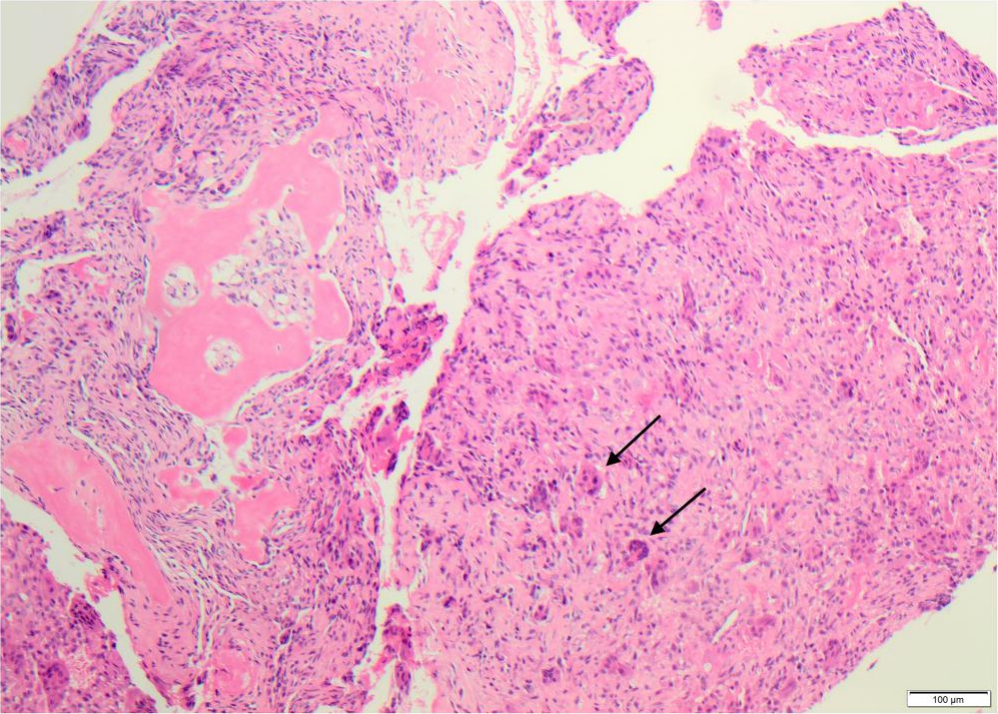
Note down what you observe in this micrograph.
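Fibroblastic tissue made of densely packed spindle-shaped cells with elongated dark nuclei lies in a pink collagenous stroma. Large multinucleated osteoclastic giant cells, each with several clustered nuclei, are scattered through this stroma. At the left, irregular trabeculae of pale pink bone matrix are surrounded by the spindle-cell tissue.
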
